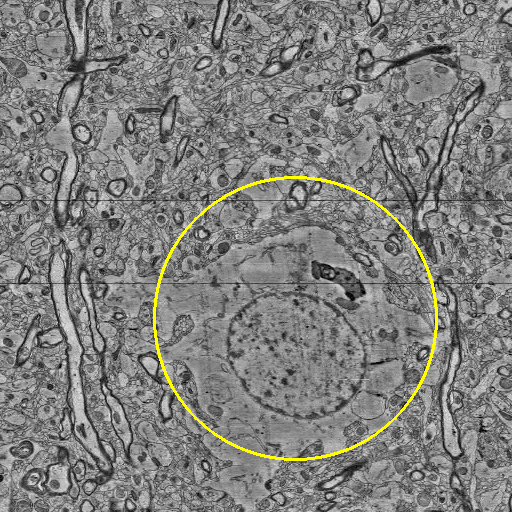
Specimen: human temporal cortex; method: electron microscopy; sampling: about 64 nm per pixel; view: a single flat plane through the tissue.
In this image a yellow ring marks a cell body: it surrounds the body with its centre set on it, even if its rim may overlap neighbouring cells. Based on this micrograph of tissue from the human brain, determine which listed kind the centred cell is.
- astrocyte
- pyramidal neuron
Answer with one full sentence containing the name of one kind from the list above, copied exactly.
It is an astrocyte whose body the yellow ring encloses at its centre.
